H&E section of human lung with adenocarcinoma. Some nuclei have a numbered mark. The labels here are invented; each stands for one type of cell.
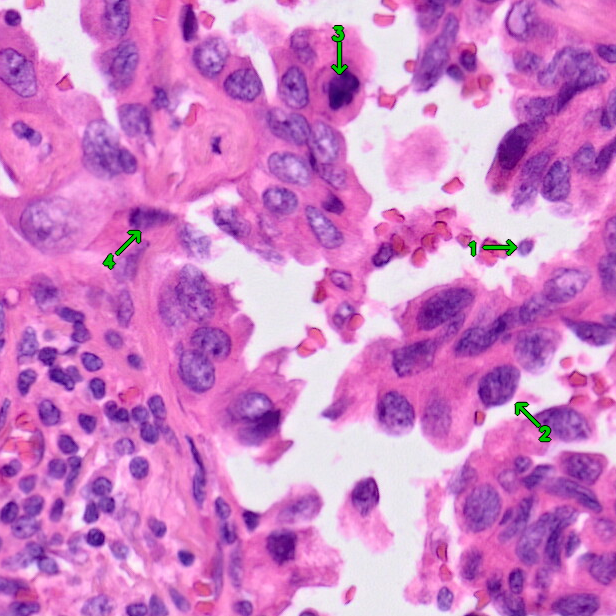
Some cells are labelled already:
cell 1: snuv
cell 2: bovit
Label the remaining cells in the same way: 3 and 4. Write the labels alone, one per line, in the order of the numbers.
bovit
bovit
